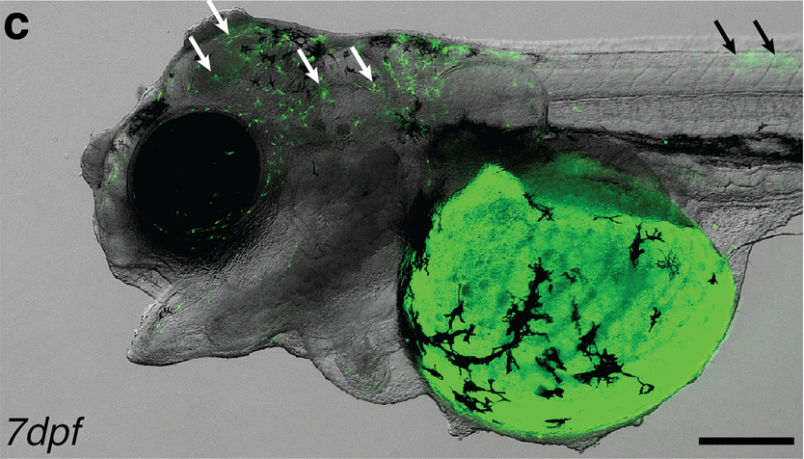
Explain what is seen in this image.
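A side view of a larval fish head and anterior trunk shows scattered green fluorescent dendritic cells, mostly over the top of the head behind the dark eye. These cells are small and branched, with thin processes, and lie among dark, star-shaped pigment cells. A few faint green cells appear dorsally on the trunk. The large rounded yolk below glows bright green throughout and carries many dark, branched pigment cells on its surface. The eye is a dark circle at the front of the head.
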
